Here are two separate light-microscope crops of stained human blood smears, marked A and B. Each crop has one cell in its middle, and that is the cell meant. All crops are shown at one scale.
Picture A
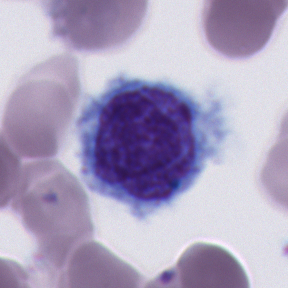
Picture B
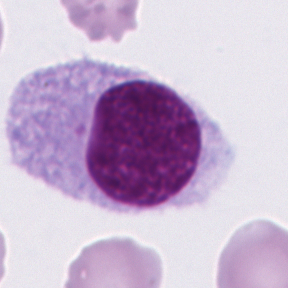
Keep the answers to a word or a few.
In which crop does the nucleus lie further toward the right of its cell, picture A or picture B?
B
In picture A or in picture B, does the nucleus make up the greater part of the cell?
A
